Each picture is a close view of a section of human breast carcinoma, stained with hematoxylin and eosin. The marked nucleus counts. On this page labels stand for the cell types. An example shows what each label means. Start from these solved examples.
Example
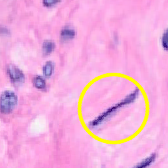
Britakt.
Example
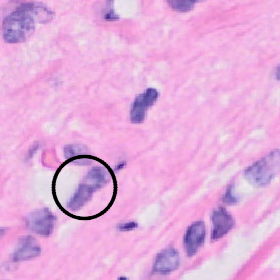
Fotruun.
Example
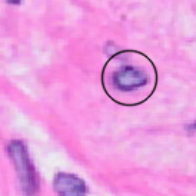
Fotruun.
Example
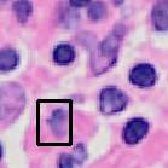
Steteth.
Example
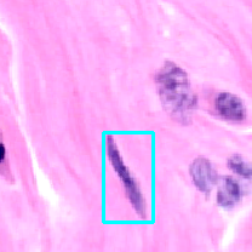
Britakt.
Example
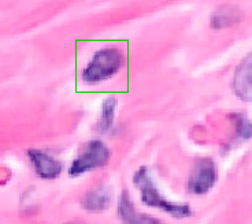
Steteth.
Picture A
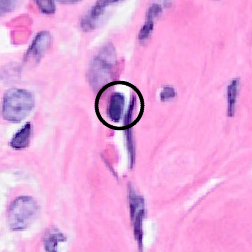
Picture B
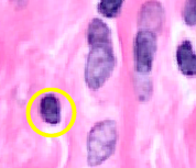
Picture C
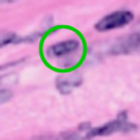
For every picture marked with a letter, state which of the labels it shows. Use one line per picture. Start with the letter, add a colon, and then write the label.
A: Fotruun.
B: Steteth.
C: Fotruun.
